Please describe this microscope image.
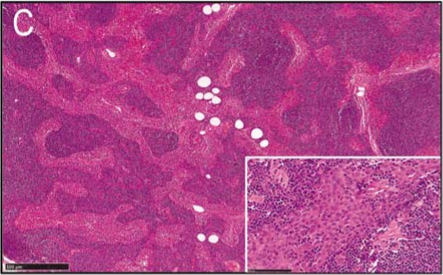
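This is a lymph node in which the sinuses are widened and filled with histiocytes. At low power, dark blue lymphoid tissue is divided by broad, branching pink channels that wind through the node. In the inset, these channels are packed with large cells that have plentiful pale pink cytoplasm and oval, lighter nuclei. Beside them lie small lymphocytes with dense, dark round nuclei and scant cytoplasm. A few round, empty clear spaces are scattered across the section.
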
